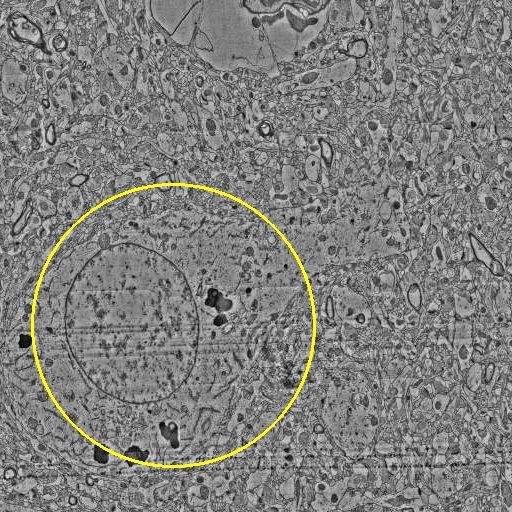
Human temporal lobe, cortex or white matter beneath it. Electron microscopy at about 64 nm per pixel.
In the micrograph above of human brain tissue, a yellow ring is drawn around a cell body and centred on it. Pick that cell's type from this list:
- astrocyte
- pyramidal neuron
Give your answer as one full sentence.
Going by the list, a pyramidal neuron is the cell on which the yellow ring is centred.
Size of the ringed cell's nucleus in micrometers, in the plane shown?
About 10 by 8 micrometers, in this plane.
